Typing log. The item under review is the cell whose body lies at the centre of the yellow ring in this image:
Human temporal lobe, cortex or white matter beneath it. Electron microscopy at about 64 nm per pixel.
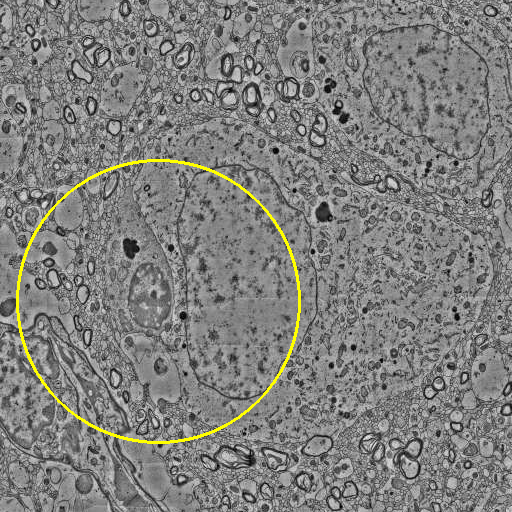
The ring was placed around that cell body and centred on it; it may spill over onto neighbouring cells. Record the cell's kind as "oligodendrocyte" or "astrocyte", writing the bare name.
oligodendrocyte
